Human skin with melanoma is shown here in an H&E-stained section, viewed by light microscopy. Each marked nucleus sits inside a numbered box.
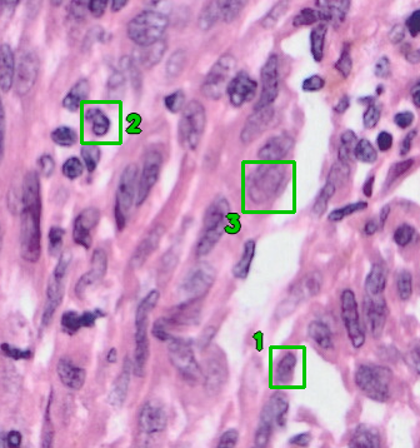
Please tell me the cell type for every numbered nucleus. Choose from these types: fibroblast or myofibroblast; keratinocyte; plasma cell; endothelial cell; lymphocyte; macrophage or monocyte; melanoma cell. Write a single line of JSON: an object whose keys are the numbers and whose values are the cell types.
{"1": "melanoma cell", "2": "lymphocyte", "3": "melanoma cell"}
